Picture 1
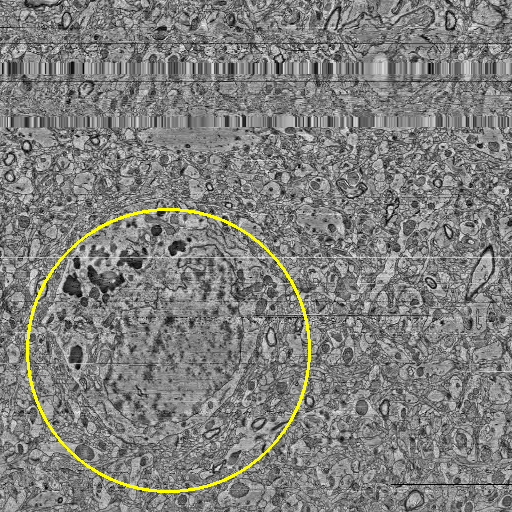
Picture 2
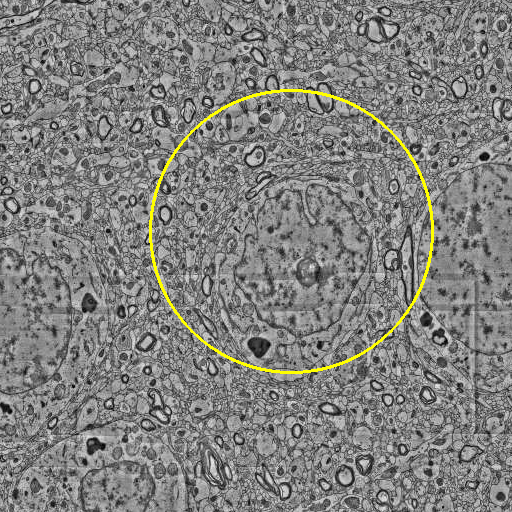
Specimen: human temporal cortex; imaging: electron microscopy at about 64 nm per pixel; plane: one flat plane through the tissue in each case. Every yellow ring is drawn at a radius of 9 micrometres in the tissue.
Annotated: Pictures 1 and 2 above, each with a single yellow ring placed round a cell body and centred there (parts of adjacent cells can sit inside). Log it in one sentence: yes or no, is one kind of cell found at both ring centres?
Yes, the ring centres of the two pictures hold cells of one kind.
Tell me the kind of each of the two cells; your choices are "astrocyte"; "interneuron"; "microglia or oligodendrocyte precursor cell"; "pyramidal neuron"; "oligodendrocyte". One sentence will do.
The ring centre holds an interneuron in each of the two pictures.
